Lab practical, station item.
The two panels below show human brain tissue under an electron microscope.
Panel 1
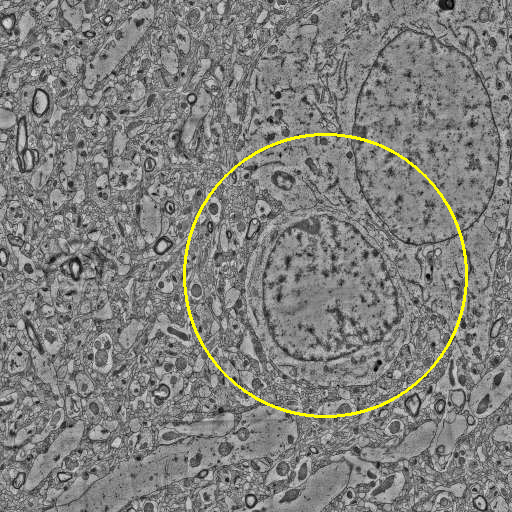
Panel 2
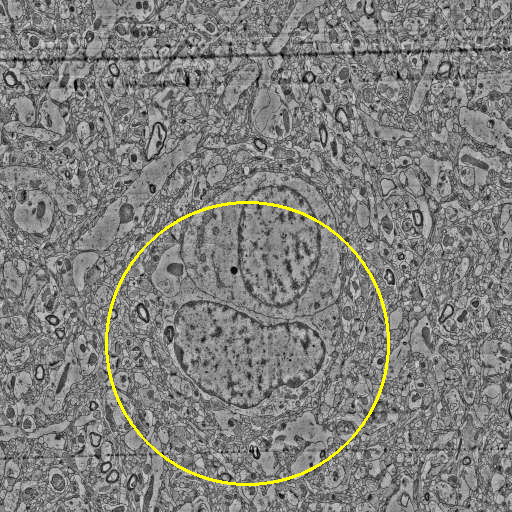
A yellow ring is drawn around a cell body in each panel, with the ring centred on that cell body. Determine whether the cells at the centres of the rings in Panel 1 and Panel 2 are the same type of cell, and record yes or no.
no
